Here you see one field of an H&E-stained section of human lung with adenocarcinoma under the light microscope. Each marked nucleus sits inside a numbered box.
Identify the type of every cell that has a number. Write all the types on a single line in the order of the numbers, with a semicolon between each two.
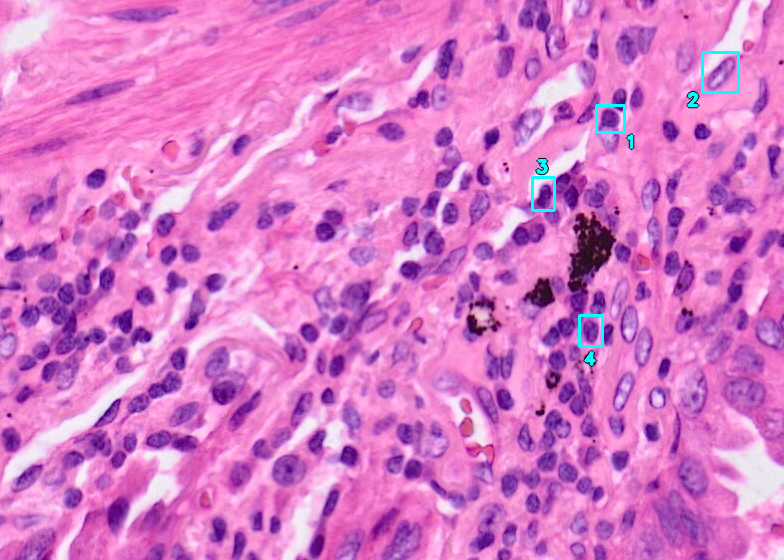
lymphocyte; endothelial cell; lymphocyte; lymphocyte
